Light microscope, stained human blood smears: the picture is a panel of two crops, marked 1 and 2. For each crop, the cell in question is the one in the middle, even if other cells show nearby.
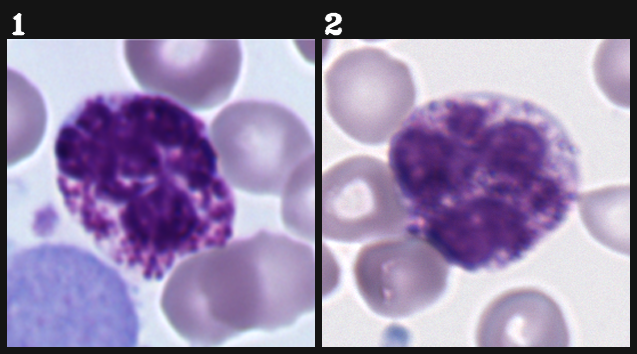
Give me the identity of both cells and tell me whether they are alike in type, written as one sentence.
Yes, the cells in both crops are basophils.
